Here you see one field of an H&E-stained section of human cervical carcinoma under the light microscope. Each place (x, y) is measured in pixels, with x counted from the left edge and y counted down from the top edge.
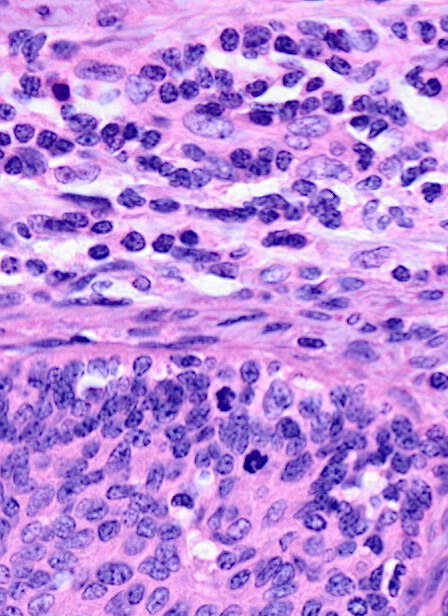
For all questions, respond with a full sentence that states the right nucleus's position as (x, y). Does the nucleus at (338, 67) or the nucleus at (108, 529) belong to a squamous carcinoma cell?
Heads up, the nucleus at (108, 529) is the one that belongs to a squamous carcinoma cell.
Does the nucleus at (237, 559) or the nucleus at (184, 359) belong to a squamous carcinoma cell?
The nucleus at (237, 559) is identified as belonging to a squamous carcinoma cell.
